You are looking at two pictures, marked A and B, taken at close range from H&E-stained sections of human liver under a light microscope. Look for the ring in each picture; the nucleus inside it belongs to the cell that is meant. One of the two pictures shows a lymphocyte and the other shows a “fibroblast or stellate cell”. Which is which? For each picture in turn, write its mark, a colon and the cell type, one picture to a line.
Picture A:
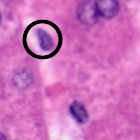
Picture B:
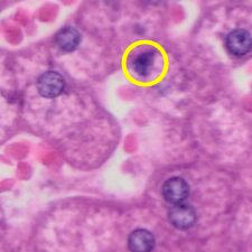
A: lymphocyte
B: fibroblast or stellate cell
